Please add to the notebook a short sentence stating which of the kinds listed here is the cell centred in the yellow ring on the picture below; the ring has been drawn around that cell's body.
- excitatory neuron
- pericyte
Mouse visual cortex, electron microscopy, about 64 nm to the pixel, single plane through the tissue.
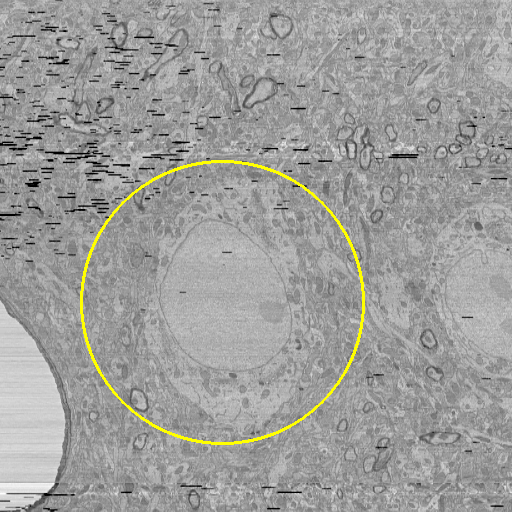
The cell centred in the yellow ring is an excitatory neuron.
